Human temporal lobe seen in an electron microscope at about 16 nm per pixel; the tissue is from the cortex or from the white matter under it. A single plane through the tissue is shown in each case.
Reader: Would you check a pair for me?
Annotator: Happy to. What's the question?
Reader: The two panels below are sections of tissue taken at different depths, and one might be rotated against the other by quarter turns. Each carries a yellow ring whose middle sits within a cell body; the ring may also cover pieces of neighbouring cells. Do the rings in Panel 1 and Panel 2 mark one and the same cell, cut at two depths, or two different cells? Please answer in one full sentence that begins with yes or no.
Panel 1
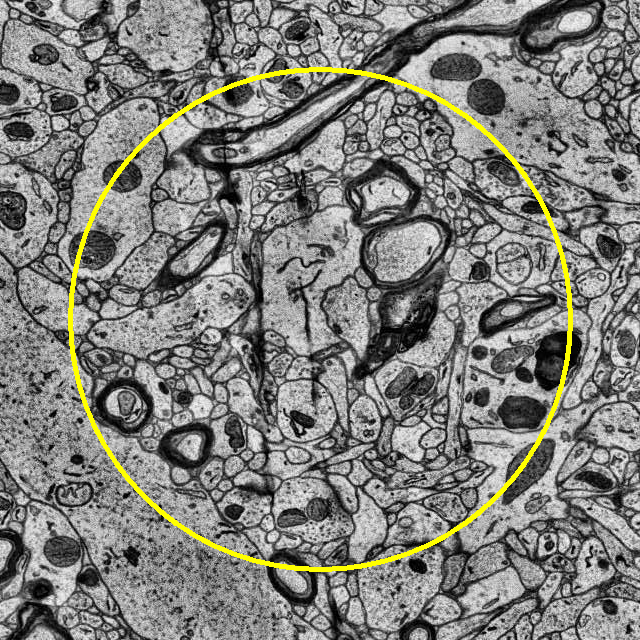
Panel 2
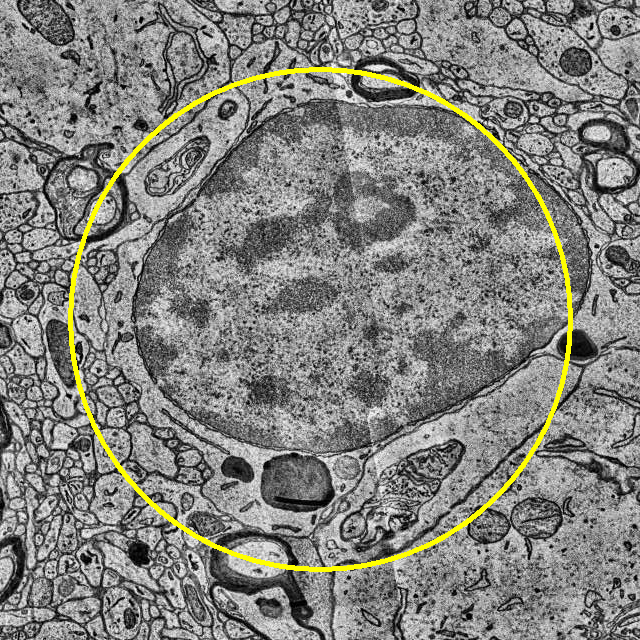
Yes, the cell inside the first ring is the cell inside the second.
